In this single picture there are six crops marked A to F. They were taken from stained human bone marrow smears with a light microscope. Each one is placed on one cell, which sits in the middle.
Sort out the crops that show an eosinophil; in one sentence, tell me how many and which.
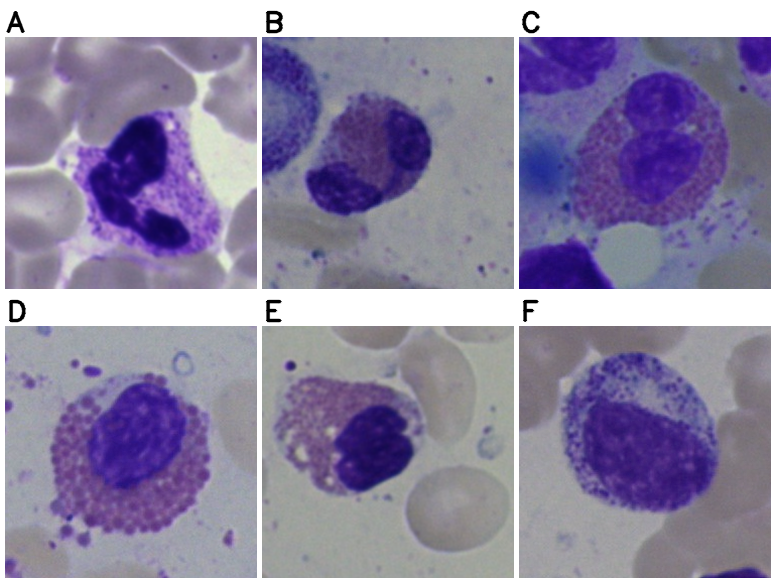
The eosinophils are found in four crops, namely B, C, D and E.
